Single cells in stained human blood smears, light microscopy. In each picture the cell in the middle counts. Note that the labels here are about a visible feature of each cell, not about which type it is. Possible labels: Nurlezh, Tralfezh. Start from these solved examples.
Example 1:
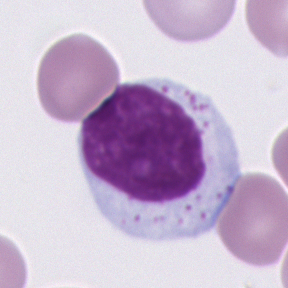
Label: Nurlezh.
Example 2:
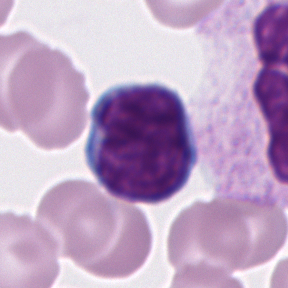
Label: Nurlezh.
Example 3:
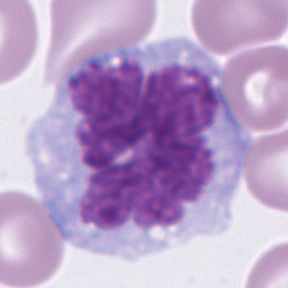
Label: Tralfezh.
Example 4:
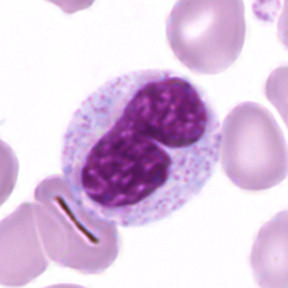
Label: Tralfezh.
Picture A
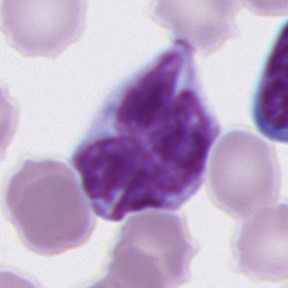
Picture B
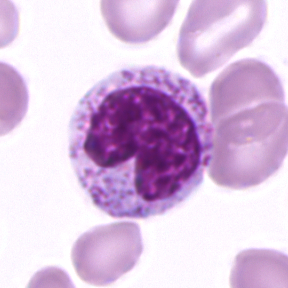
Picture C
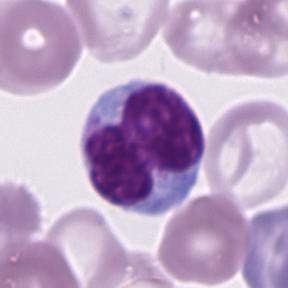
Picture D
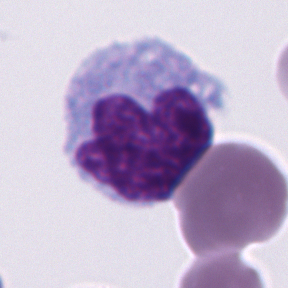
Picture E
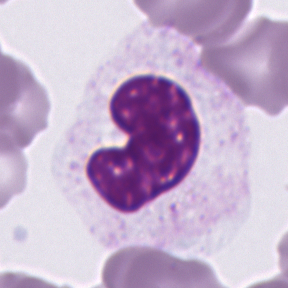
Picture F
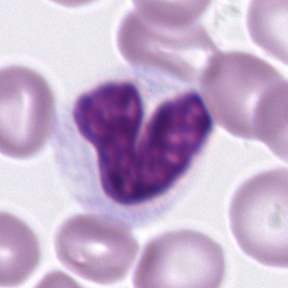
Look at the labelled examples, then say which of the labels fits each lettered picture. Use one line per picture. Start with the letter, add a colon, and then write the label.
A: Tralfezh.
B: Nurlezh.
C: Tralfezh.
D: Tralfezh.
E: Nurlezh.
F: Tralfezh.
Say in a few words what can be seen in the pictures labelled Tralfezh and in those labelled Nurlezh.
Tralfezh, lobed nucleus; Nurlezh, single compact nucleus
